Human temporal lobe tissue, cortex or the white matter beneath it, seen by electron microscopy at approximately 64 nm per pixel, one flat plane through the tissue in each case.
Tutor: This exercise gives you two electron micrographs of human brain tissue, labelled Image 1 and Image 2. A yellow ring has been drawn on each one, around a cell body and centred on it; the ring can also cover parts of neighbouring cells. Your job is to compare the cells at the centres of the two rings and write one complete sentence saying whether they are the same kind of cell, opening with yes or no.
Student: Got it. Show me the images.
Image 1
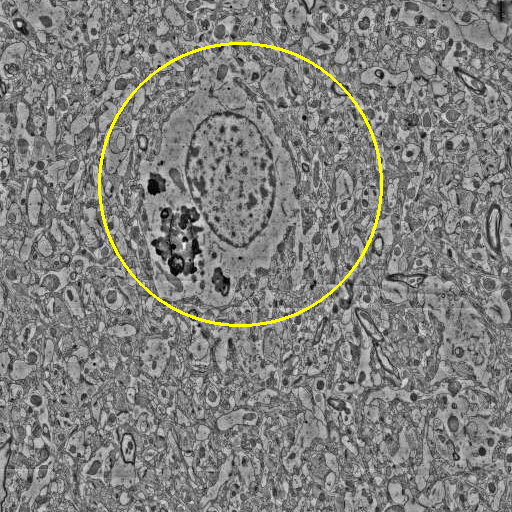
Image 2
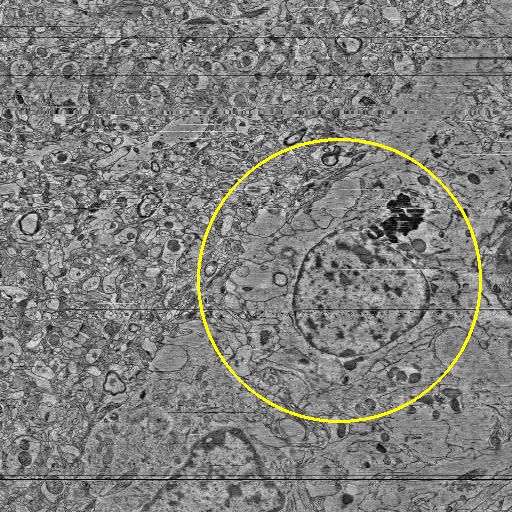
Yes, the two cells belong to the same kind.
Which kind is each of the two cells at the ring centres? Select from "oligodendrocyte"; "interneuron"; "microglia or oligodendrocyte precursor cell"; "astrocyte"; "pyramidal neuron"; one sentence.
The second cell is an astrocyte, just as the first is.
